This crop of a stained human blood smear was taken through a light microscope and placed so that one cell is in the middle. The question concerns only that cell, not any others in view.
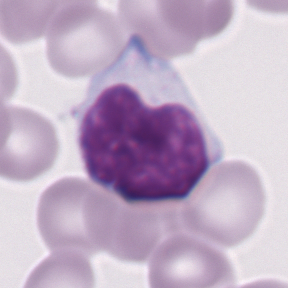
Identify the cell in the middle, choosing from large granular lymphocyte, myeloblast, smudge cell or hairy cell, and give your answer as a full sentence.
The central cell shown in this smear crop is a large granular lymphocyte.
